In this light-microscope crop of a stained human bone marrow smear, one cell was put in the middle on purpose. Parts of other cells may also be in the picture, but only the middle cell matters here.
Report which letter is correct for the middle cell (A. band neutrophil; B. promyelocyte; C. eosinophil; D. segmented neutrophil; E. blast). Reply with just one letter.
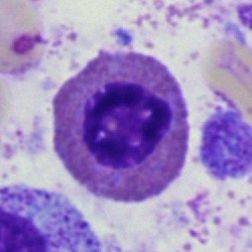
C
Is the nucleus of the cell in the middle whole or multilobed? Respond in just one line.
The nucleus holds together as a single compact mass, round, oval or kidney-like.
